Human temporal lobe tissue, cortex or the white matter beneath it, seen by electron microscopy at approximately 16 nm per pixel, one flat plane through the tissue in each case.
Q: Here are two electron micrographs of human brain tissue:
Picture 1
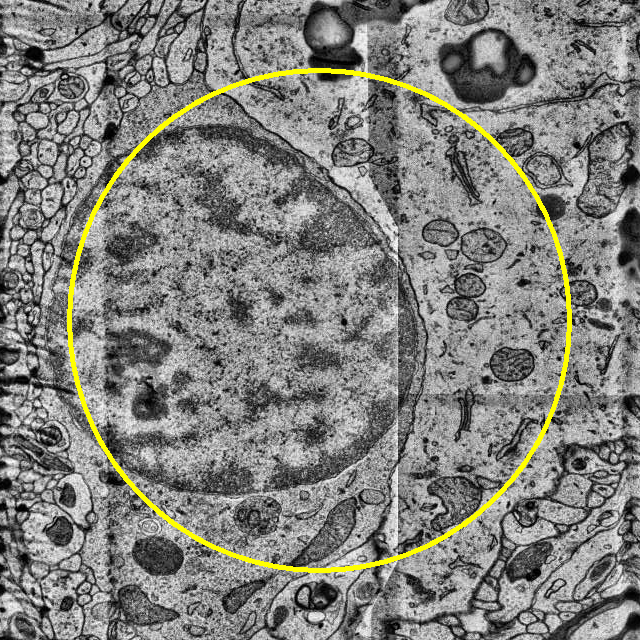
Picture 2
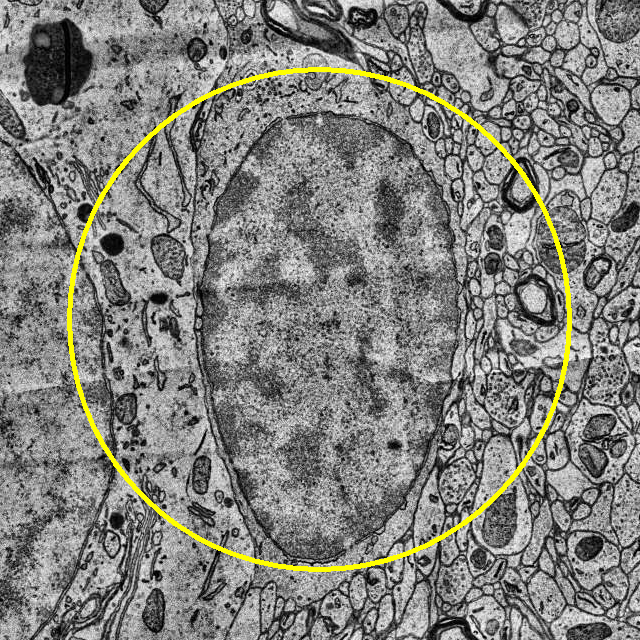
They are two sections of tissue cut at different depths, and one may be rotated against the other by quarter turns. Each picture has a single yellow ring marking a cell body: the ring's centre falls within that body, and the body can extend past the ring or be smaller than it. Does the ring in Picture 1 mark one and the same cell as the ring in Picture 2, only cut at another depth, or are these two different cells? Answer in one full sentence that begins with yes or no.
No, the yellow rings are placed on two separate cells.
